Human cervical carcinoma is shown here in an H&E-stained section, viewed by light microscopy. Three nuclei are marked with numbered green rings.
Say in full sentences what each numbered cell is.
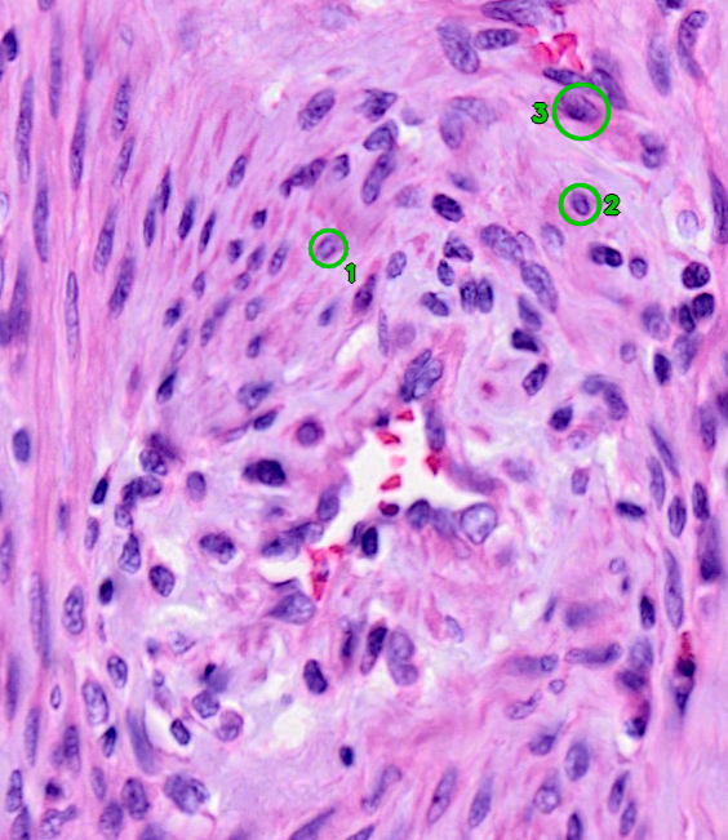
Cell 1 is a smooth muscle cell, cell 2 is a smooth muscle cell and cell 3 is an endothelial cell.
